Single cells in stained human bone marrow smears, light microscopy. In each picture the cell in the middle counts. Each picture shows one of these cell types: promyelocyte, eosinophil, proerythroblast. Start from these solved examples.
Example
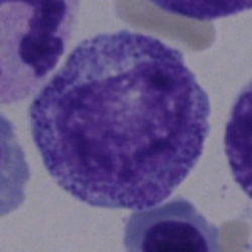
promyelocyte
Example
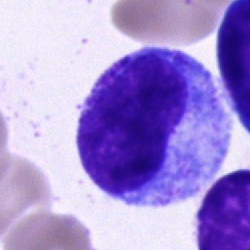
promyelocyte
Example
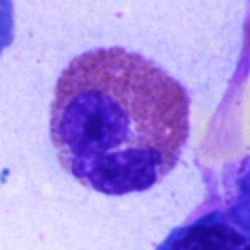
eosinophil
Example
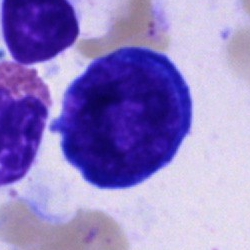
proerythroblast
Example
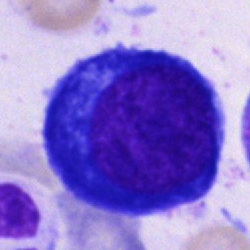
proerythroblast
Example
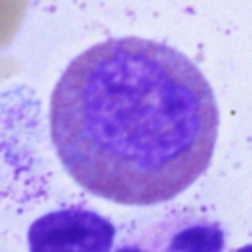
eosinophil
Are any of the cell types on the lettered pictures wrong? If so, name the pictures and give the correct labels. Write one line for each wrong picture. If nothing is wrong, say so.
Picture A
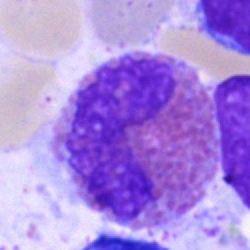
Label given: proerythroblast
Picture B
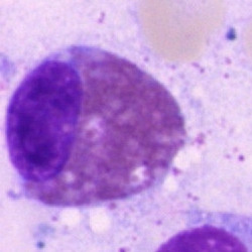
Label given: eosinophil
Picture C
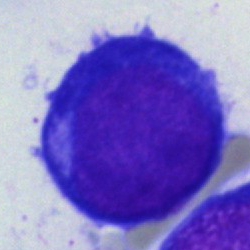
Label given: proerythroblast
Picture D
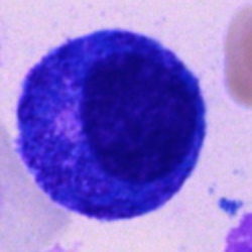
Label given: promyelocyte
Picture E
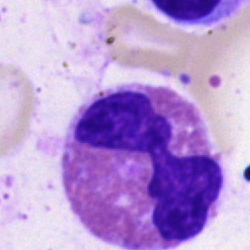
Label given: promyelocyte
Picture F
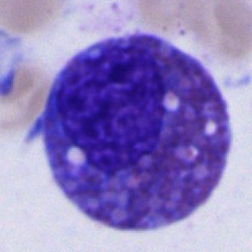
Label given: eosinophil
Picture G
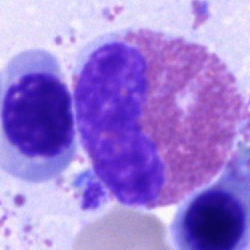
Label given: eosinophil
A is labelled proerythroblast; correct label: eosinophil
E is labelled promyelocyte; correct label: eosinophil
